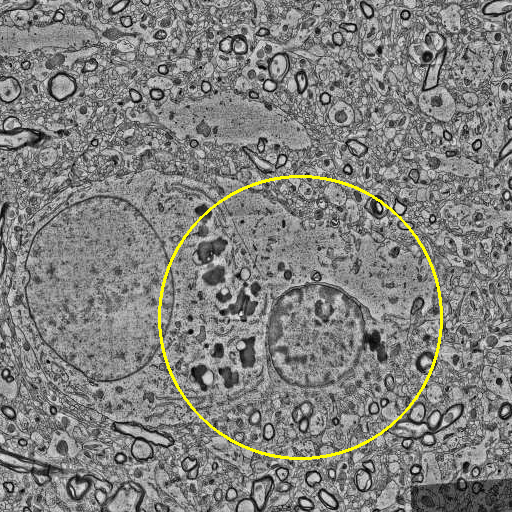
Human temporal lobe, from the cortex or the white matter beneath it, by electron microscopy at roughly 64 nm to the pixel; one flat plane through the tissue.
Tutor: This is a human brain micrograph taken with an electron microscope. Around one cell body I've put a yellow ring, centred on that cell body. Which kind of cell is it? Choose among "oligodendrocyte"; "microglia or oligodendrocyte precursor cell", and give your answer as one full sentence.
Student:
Going by your list, the cell centred in the yellow ring is an oligodendrocyte.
